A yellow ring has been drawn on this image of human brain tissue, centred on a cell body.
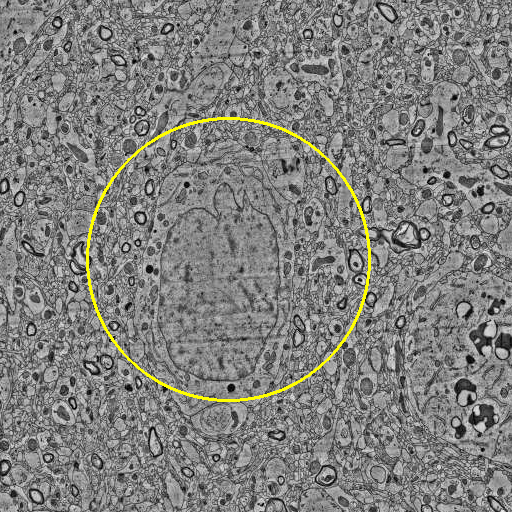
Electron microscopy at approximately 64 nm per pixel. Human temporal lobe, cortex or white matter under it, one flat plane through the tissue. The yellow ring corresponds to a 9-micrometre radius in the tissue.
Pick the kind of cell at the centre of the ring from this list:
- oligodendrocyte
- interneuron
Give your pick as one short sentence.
The centre of the ring holds an interneuron.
